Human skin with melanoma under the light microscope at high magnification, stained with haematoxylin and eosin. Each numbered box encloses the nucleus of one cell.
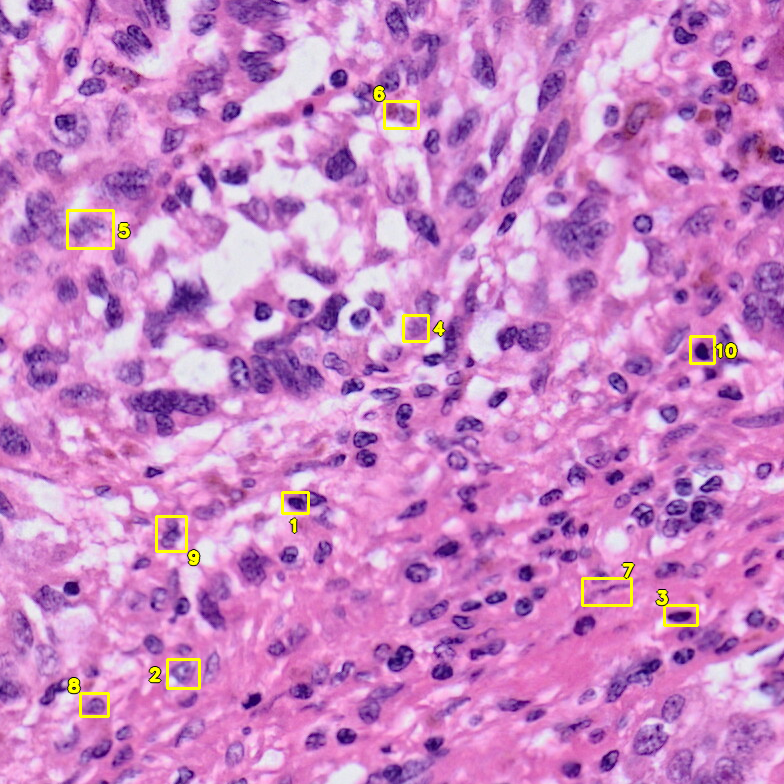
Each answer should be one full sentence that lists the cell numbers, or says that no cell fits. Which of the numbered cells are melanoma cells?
The numbers 4 and 5 mark cells that are melanoma cells.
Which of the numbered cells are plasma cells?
The cells given the numbers 3 and 10 are plasma cells.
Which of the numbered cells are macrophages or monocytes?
On this slide, the cells numbered 6, 8 and 9 are macrophages or monocytes.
